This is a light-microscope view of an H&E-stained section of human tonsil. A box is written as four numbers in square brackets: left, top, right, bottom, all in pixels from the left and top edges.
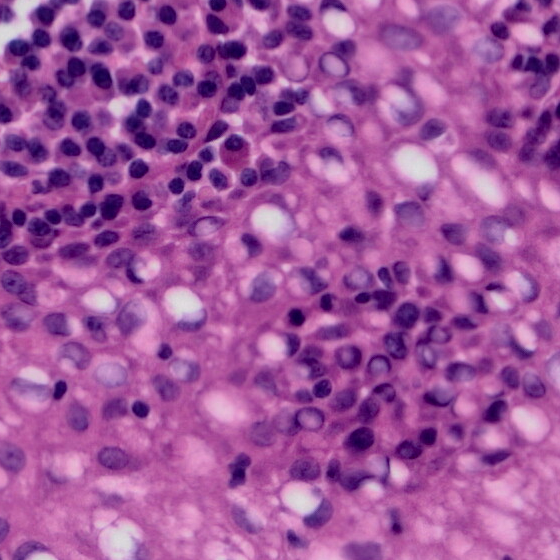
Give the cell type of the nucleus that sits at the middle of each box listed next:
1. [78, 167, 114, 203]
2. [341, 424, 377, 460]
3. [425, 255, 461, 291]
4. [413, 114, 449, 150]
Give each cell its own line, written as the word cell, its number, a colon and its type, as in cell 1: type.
cell 1: plasma cell
cell 2: squamous epithelial cell
cell 3: squamous epithelial cell
cell 4: squamous epithelial cell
